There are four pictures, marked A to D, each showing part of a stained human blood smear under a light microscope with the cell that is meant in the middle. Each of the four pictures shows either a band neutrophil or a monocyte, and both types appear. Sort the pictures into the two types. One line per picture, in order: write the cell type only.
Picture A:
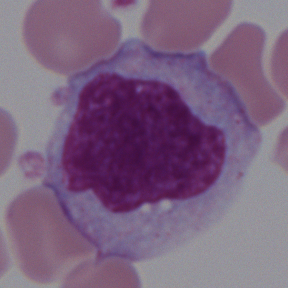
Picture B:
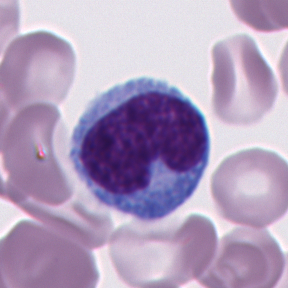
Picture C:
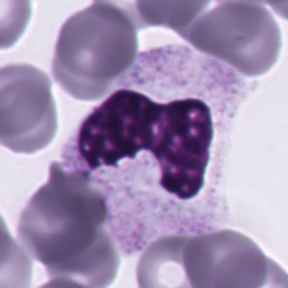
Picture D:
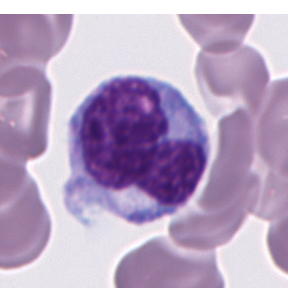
monocyte
monocyte
band neutrophil
monocyte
